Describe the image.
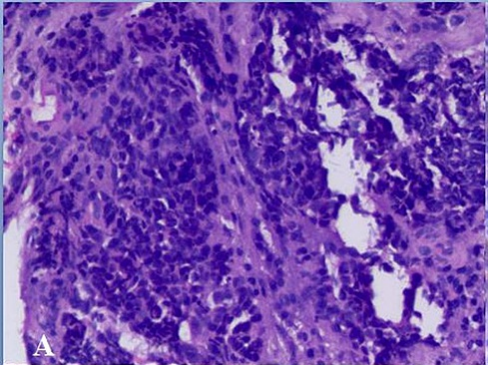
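Small tumor cells packed in solid nests. The nuclei are round to oval or somewhat elongated, dense and dark blue-purple, and crowded close together. Little or no cytoplasm can be seen around them. The nests are divided by thin strands of pink fibrous stroma. Some clear clefts and spaces lie among and between the cell groups. The cells do not form glands or any orderly layering.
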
